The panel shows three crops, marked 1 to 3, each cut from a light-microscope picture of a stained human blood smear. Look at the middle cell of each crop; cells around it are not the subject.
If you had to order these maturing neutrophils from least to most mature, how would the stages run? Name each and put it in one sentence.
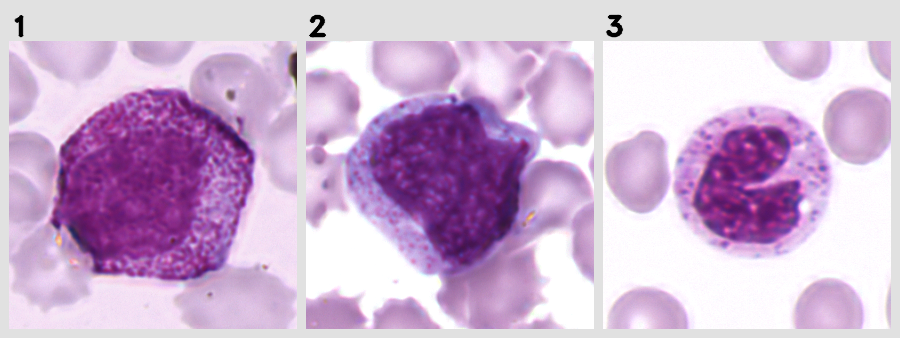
In order from least mature to most mature, the crops stand crop 1 (a promyelocyte), crop 2 (a myelocyte) and crop 3 (a band neutrophil).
